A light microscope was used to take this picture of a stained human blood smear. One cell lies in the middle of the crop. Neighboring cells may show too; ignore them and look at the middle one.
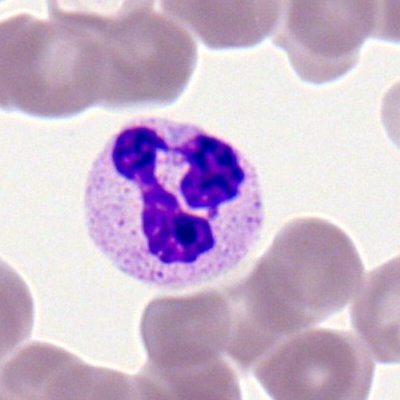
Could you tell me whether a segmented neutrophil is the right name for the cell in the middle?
yes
